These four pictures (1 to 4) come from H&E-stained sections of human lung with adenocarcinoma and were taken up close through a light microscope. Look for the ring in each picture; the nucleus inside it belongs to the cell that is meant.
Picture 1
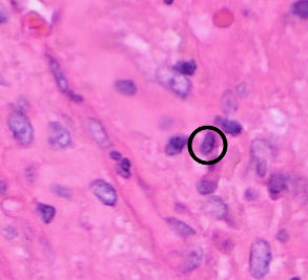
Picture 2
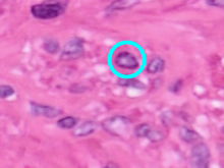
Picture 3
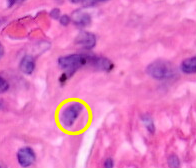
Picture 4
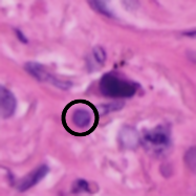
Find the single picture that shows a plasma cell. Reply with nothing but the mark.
1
